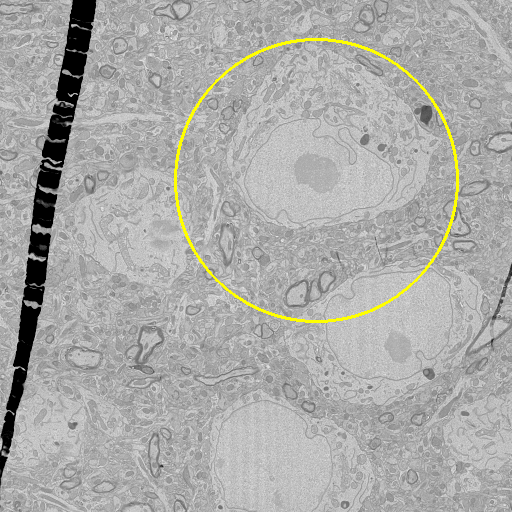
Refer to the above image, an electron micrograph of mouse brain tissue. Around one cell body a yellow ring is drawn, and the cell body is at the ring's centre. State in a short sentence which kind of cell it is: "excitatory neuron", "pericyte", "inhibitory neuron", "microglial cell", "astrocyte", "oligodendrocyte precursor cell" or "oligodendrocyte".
The centre of the ring falls on an excitatory neuron.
